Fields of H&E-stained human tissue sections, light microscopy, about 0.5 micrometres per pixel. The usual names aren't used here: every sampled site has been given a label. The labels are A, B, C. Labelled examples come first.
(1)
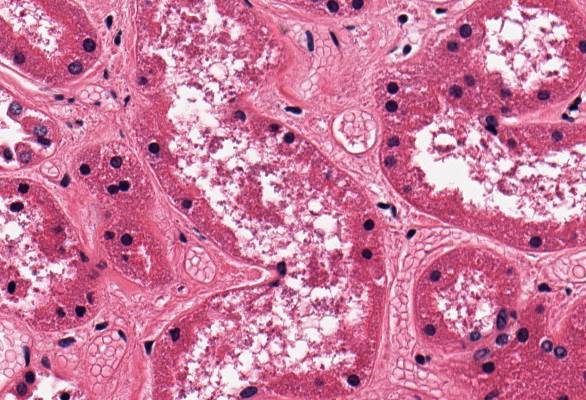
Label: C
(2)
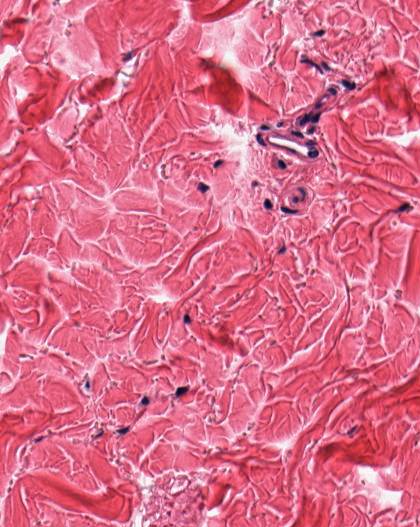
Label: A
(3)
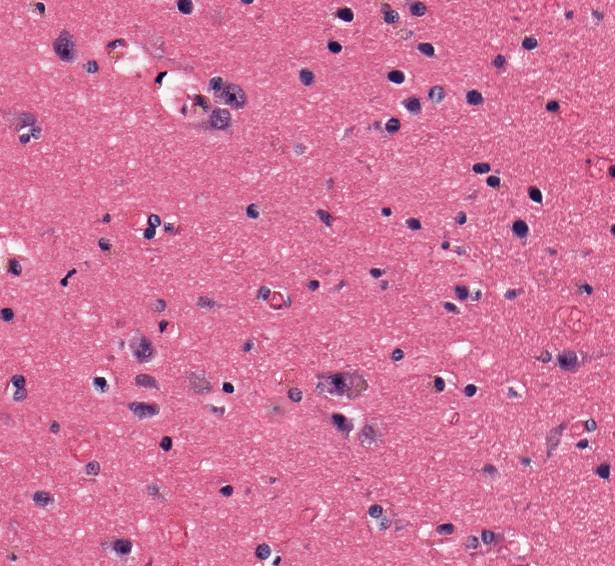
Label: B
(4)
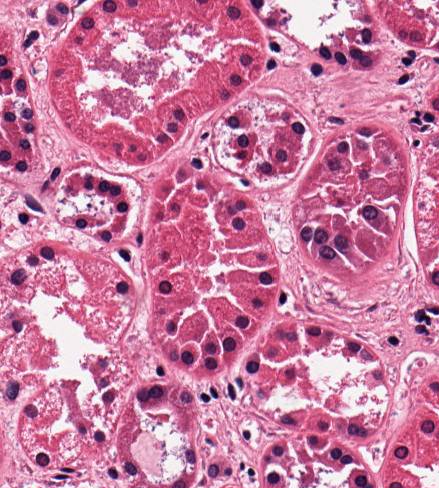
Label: C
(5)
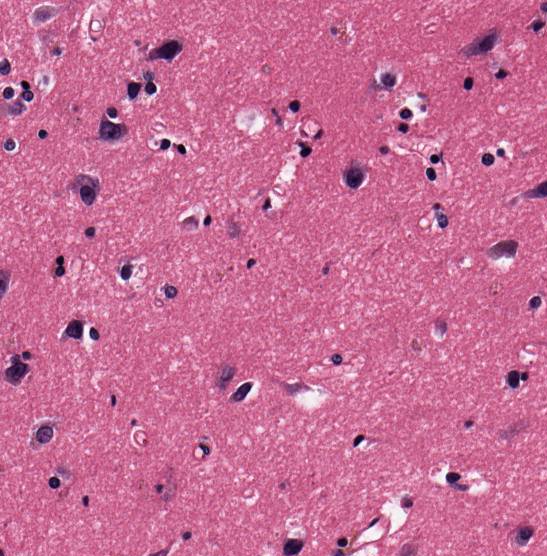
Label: B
